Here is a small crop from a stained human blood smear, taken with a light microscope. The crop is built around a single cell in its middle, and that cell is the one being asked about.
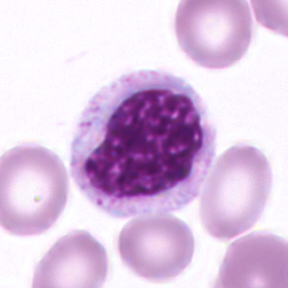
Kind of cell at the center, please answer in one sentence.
The middle cell in this particular crop is a metamyelocyte.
